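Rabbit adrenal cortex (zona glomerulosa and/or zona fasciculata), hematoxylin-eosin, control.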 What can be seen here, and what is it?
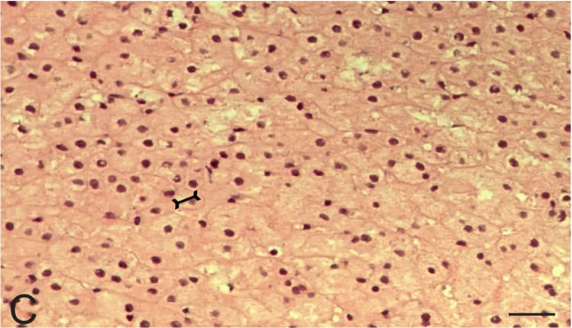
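Thin pink cell borders outline neighbouring cells, which fit closely together. Nuclei are fairly evenly spaced across the field. Scattered narrow, pale or clear spaces lie between groups of cells, more frequent toward the upper right. No marked variation in cell size is evident across the field.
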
